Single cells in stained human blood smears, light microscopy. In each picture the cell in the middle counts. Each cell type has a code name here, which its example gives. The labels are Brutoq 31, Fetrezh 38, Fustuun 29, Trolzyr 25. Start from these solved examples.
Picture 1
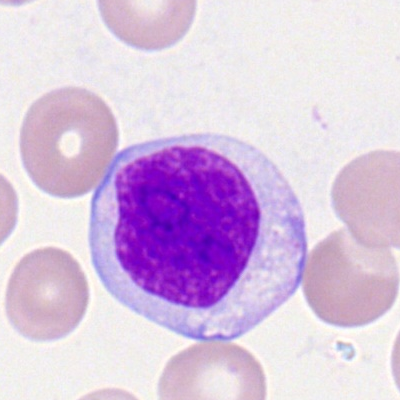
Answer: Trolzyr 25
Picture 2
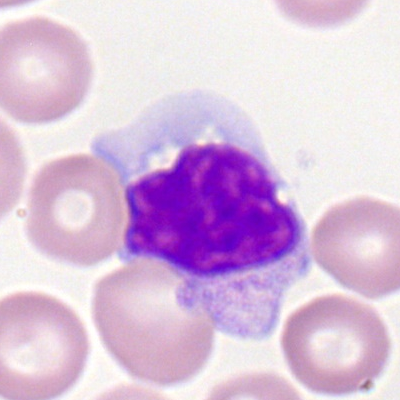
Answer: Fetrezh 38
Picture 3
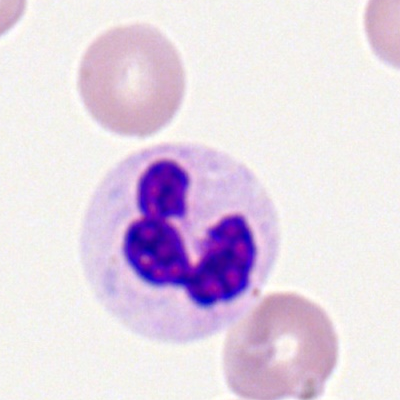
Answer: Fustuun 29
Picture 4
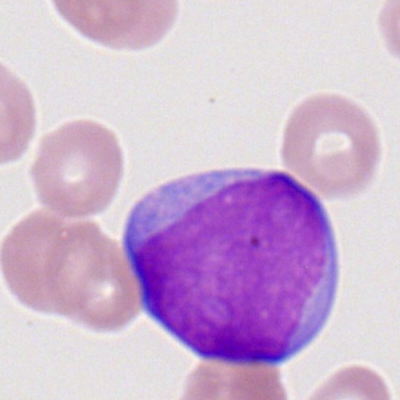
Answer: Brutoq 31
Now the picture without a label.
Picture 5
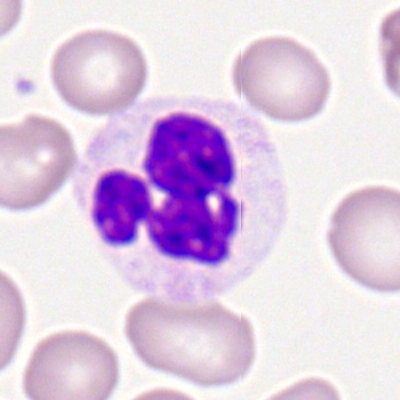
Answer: Fustuun 29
